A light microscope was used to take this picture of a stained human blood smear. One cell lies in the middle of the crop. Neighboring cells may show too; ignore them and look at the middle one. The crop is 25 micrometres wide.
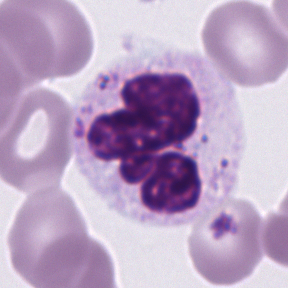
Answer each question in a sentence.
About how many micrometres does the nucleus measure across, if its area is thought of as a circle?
It measures about 10 micrometres across.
